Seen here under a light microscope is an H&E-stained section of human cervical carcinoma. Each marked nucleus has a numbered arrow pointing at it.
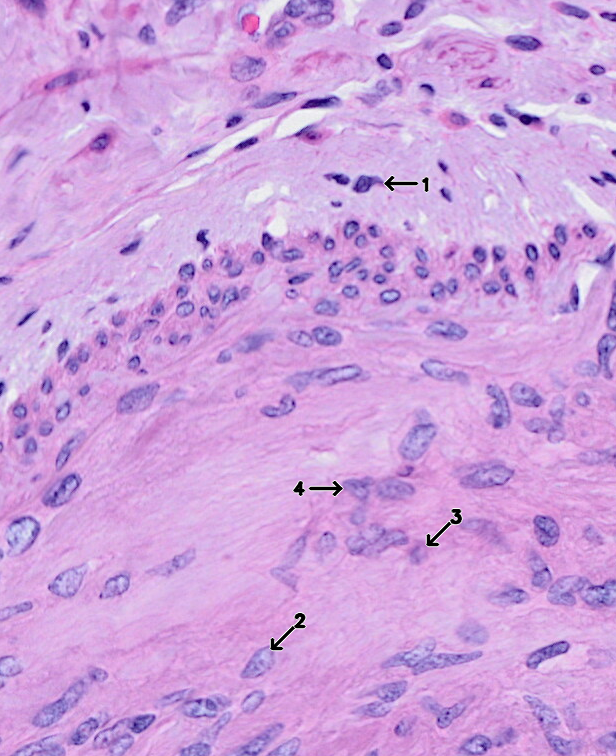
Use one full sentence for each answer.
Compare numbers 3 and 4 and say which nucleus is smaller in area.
Number 3 is smaller, since number 4 takes up about 1.5 times as much area.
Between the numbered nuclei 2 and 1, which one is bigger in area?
Number 2 is larger; its area is about 2 times that of number 1.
